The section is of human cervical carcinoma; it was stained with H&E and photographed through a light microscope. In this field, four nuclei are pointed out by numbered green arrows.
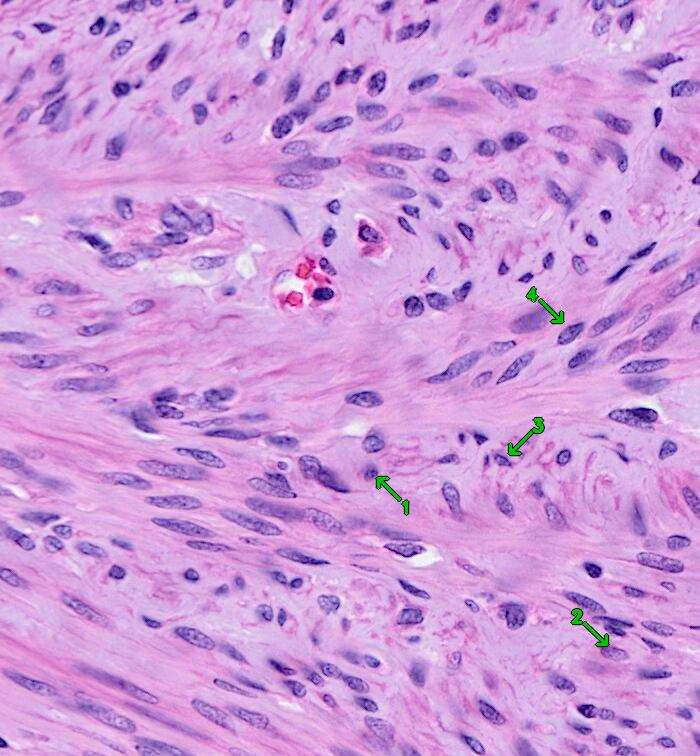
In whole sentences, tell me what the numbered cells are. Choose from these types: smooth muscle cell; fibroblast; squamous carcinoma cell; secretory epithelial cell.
Cell 1 is a smooth muscle cell, cell 2 is a smooth muscle cell, cell 3 is a smooth muscle cell and cell 4 is a fibroblast.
